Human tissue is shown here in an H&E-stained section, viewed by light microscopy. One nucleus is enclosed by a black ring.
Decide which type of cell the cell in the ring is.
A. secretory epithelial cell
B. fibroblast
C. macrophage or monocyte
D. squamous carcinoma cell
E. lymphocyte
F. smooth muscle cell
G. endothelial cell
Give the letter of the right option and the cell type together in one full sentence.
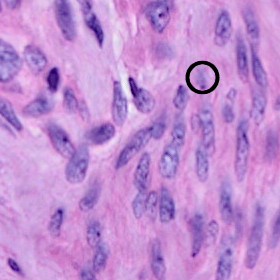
The statement that the cell in the ring is a smooth muscle cell corresponds to option F, the correct one.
